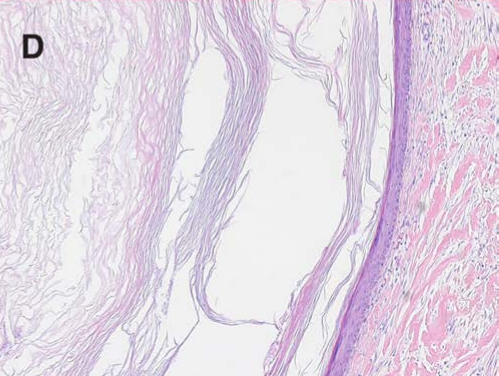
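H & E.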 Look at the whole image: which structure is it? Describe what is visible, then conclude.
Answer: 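A band of stratified squamous epithelium runs along the right side. Loose laminated pink flakes fill the space to its left. Collagenous dermis lies beyond the epithelium. So: epidermal inclusion cyst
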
